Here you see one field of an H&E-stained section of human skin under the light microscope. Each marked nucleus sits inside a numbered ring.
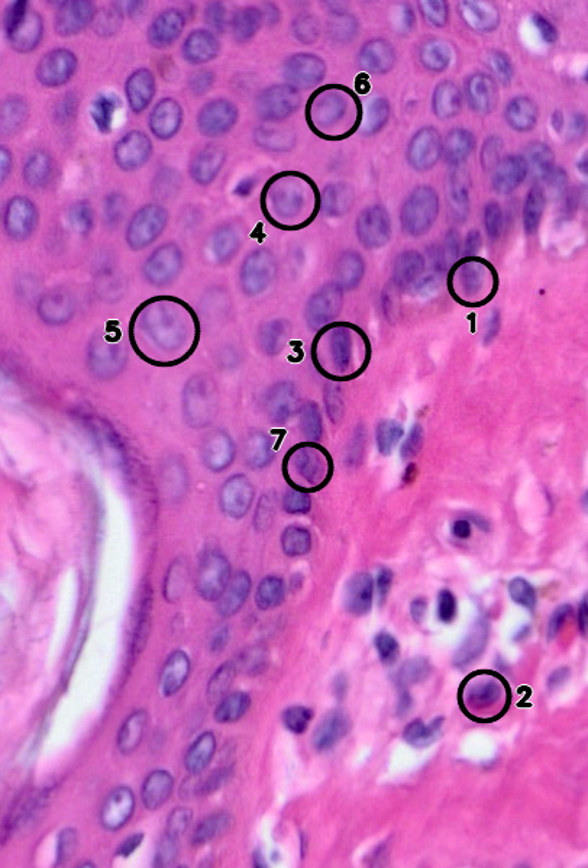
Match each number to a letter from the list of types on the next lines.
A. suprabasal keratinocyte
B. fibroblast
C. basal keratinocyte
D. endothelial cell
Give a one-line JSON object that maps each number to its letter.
{"1": "C", "2": "D", "3": "C", "4": "A", "5": "A", "6": "A", "7": "C"}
